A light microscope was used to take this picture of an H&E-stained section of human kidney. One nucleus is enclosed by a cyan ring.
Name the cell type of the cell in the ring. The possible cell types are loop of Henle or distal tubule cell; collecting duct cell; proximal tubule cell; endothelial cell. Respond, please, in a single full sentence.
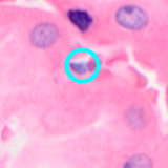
Recorded by type, the cell in the ring is an endothelial cell.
